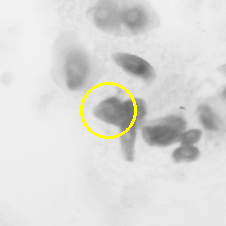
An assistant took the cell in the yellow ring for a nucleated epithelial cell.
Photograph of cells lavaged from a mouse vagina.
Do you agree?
I agree, it is a nucleated epithelial cell.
